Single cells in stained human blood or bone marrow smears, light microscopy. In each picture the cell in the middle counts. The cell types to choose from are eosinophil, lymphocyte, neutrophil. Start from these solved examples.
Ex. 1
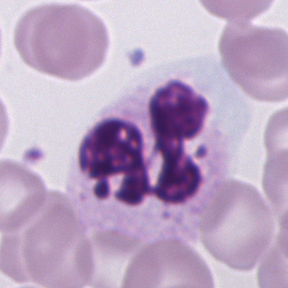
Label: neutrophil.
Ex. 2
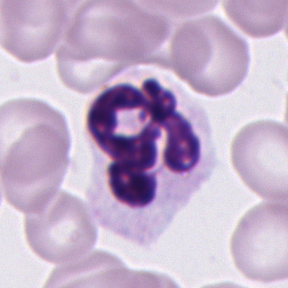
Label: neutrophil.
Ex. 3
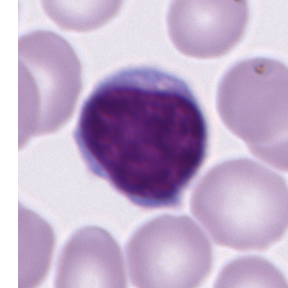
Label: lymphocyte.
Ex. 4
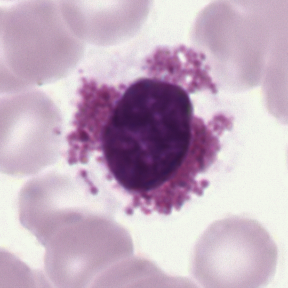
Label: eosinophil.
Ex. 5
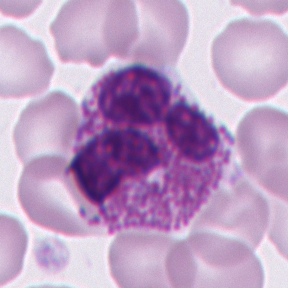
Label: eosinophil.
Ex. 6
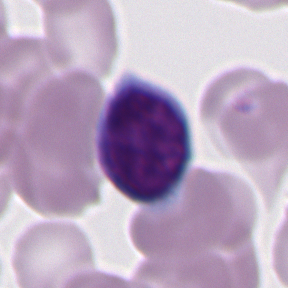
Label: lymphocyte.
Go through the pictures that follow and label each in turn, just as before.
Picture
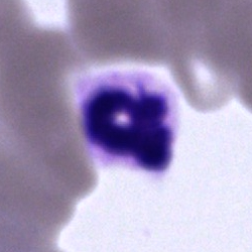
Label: neutrophil.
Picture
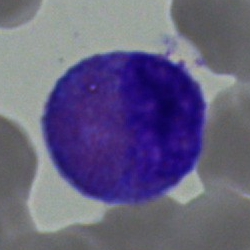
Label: eosinophil.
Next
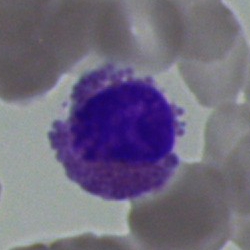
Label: eosinophil.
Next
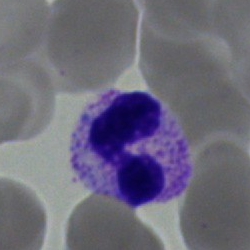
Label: neutrophil.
